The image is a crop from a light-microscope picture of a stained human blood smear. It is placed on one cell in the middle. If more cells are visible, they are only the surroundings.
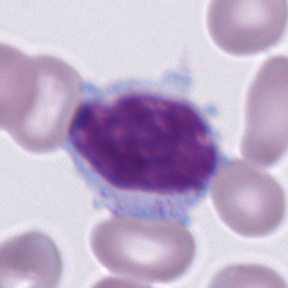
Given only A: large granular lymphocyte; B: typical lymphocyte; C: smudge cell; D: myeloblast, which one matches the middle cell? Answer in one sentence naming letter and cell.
The cell in the center of this crop is a large granular lymphocyte, so option A is the one to pick.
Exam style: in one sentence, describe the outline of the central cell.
The cytoplasmic margin is uneven, whether through ragged segments or through projections.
